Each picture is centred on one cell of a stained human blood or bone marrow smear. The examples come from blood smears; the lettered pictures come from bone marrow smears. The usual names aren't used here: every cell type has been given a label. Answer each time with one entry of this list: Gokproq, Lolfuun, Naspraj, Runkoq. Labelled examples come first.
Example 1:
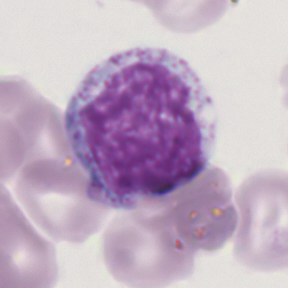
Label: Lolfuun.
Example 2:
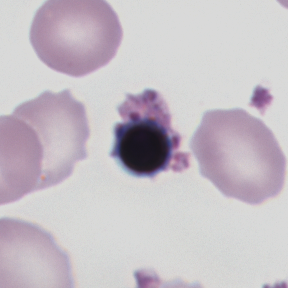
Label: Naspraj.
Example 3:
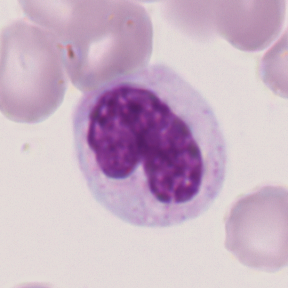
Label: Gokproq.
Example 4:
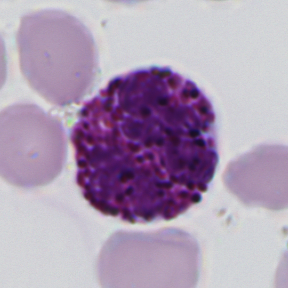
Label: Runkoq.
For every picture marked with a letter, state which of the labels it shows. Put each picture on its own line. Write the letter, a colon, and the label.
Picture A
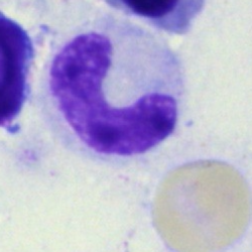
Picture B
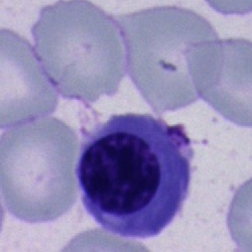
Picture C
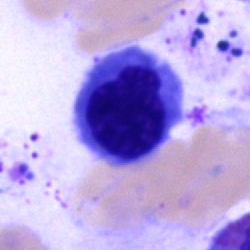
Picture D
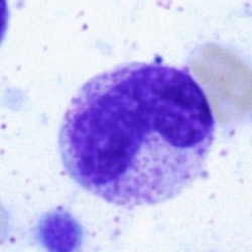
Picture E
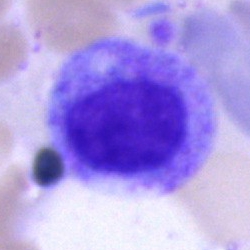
A: Gokproq.
B: Naspraj.
C: Naspraj.
D: Gokproq.
E: Lolfuun.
